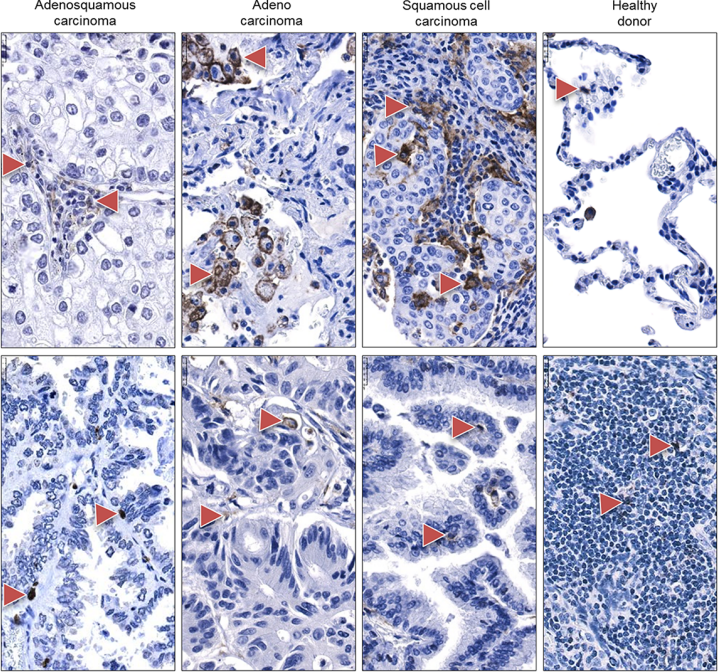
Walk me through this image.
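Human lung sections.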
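Most fields show sheets, nests or glandular and papillary arrangements of tumour cells with large pale-blue nuclei; one field shows thin alveolar walls with open air spaces and only a few brown cells; another shows densely packed small dark nuclei. The brown cells are scattered singly or in small groups between tumour cells and in the stroma, some with irregular outlines and short processes. In two fields brown cells are numerous and clustered, with heavy brown outlining of cell borders; in the others they are sparse.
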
